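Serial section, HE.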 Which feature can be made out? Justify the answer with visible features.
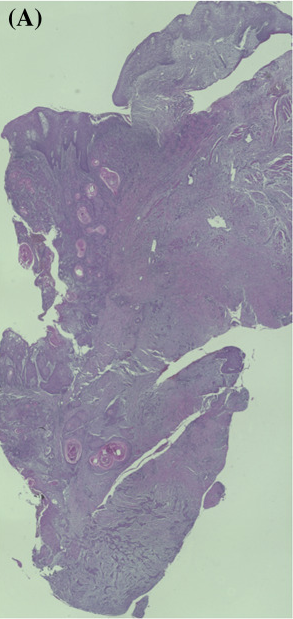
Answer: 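Rounded islands of epithelium lie within the underlying tissue. Several islands have concentric pink layered centres. On this evidence: cancer nests.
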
